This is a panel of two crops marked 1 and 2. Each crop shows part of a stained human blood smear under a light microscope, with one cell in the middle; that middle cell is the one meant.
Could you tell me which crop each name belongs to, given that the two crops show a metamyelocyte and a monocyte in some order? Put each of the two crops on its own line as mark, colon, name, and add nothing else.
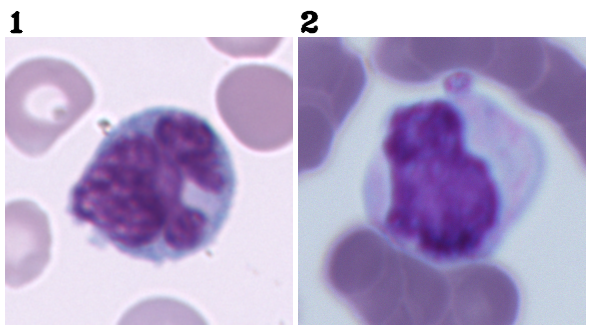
1: monocyte
2: metamyelocyte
